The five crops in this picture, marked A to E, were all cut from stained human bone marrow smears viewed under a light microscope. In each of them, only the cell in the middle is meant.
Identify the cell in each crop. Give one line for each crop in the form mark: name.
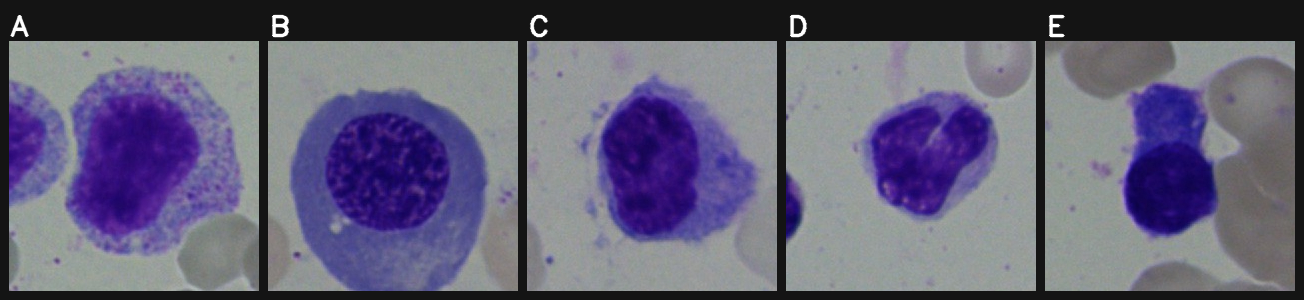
A: myelocyte
B: erythroblast
C: hairy cell
D: monocyte
E: plasma cell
